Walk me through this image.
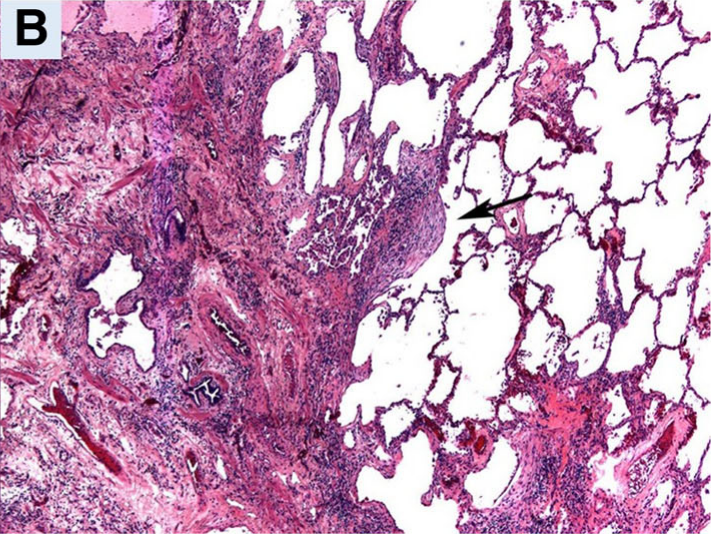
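Lung with fibrotic interstitium on the left and relatively preserved alveoli on the right. The fibrotic zone holds pink collagen, scattered dark-staining inflammatory cells, blood vessels and distorted airspaces. At the edge of the fibrosis, beside the open alveoli, lies a pale, dome-shaped patch of loosely arranged spindle cells. The alveoli on the right have thin septa. Some septa near the fibrosis are thickened and carry inflammatory cells.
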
